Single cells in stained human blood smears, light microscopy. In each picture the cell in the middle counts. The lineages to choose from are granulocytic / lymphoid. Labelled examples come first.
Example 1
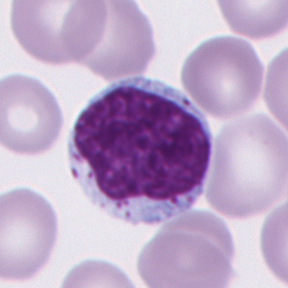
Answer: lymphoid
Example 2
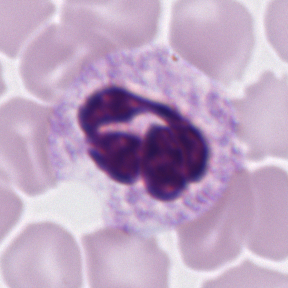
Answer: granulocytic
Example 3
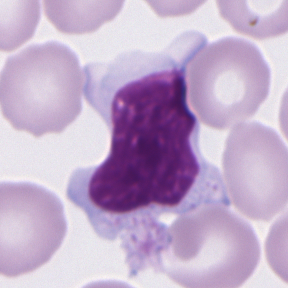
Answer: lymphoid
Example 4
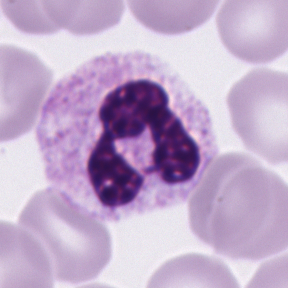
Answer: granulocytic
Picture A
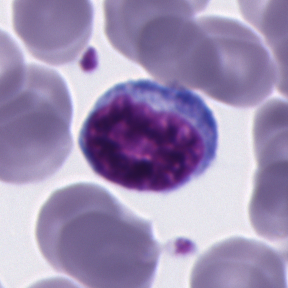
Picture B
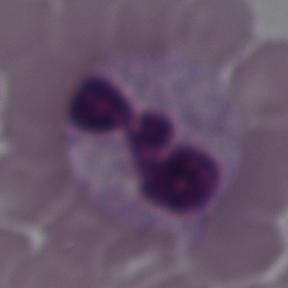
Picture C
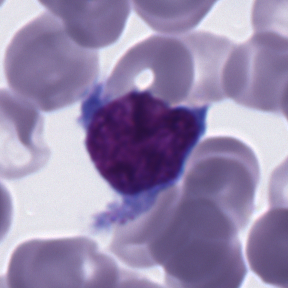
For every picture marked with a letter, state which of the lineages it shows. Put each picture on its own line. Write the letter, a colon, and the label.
A: lymphoid
B: granulocytic
C: lymphoid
